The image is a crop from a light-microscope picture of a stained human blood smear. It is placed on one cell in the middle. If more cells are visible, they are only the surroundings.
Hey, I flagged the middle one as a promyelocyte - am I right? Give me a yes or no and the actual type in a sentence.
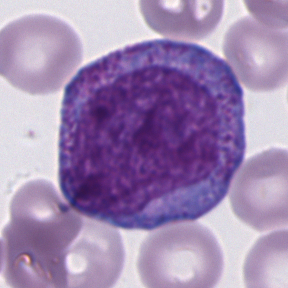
Yes, the cell located at the center is a promyelocyte.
